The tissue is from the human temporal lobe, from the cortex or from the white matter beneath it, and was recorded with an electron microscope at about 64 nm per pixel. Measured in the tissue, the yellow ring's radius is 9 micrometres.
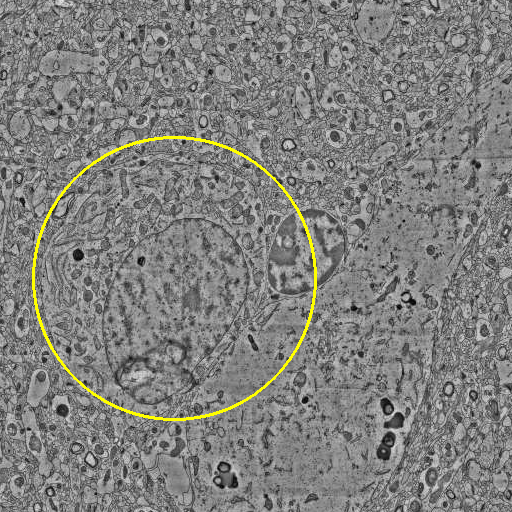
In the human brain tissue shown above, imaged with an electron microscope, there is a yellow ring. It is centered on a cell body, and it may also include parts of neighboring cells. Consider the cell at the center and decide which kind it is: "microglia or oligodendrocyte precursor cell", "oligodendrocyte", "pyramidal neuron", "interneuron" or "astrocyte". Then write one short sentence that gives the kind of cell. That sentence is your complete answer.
This centered cell body is that of an interneuron.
